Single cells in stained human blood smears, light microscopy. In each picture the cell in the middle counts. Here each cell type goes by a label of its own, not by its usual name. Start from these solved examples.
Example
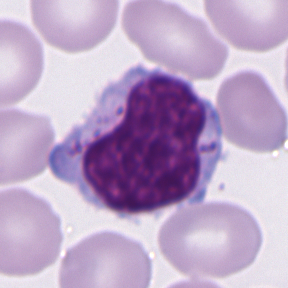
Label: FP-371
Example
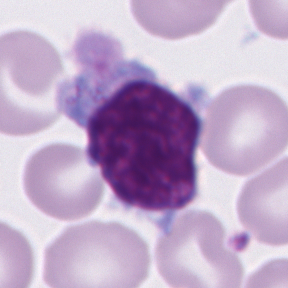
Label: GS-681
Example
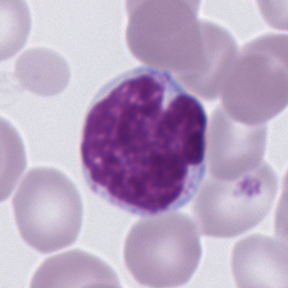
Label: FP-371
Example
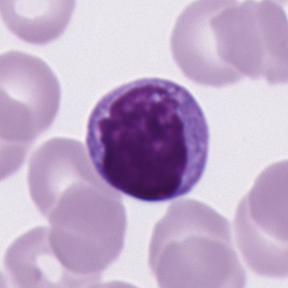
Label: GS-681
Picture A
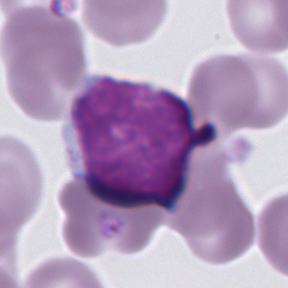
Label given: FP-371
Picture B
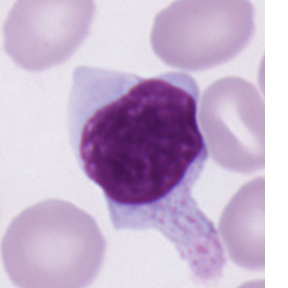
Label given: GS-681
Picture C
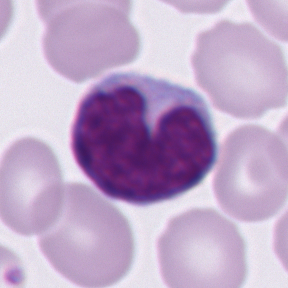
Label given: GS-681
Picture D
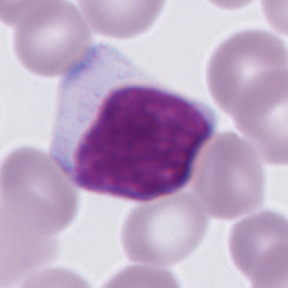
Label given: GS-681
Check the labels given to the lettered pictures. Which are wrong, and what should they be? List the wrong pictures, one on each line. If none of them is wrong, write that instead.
B: change GS-681 to FP-371
D: change GS-681 to FP-371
